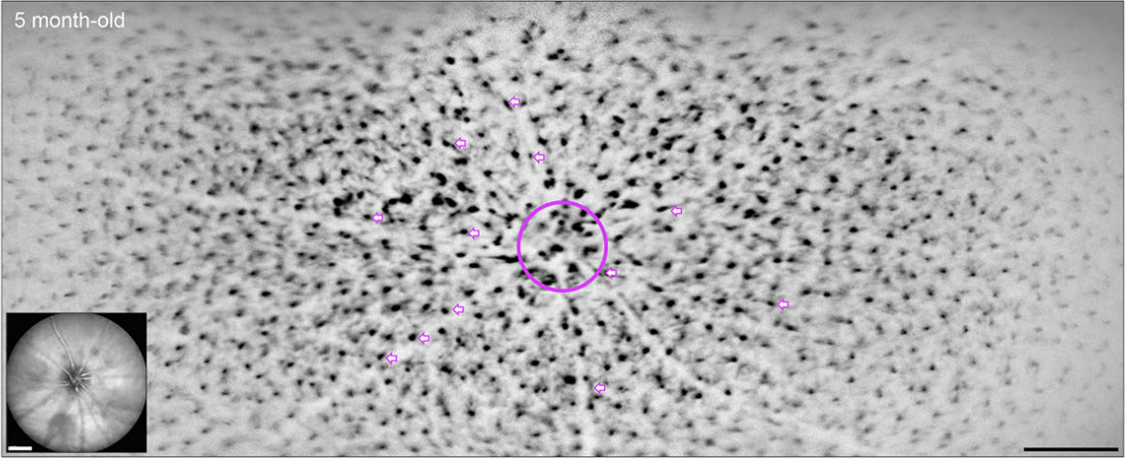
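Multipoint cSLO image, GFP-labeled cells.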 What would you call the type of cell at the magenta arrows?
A: Perivascular cells with bipolar shape.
